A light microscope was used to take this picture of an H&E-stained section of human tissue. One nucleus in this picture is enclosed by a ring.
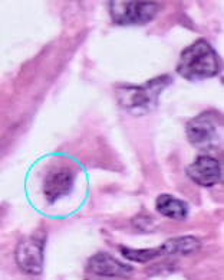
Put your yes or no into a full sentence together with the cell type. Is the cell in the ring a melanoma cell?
Yes, classifying the cell in the ring as a melanoma cell is accurate.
